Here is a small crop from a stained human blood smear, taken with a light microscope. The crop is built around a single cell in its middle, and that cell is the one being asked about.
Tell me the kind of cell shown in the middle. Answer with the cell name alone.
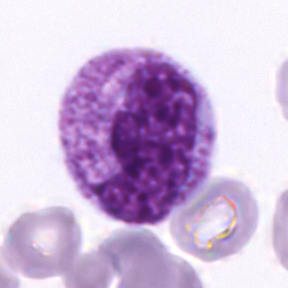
metamyelocyte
